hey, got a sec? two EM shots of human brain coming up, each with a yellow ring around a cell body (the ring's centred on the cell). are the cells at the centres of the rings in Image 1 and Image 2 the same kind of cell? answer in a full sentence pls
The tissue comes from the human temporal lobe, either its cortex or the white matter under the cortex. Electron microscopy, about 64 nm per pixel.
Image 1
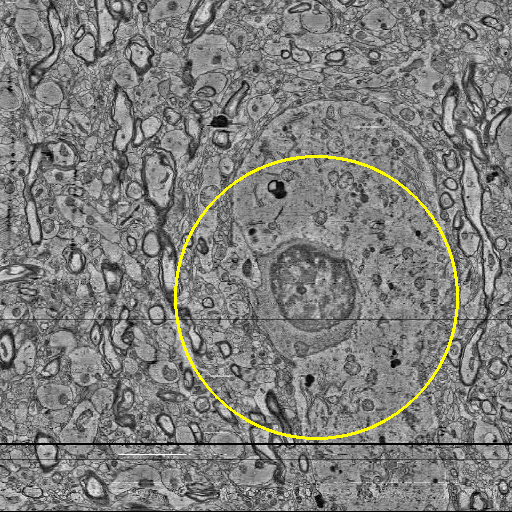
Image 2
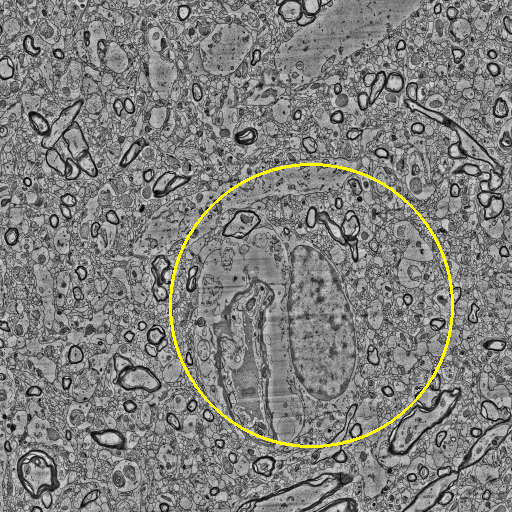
No, they are two kinds of cell.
